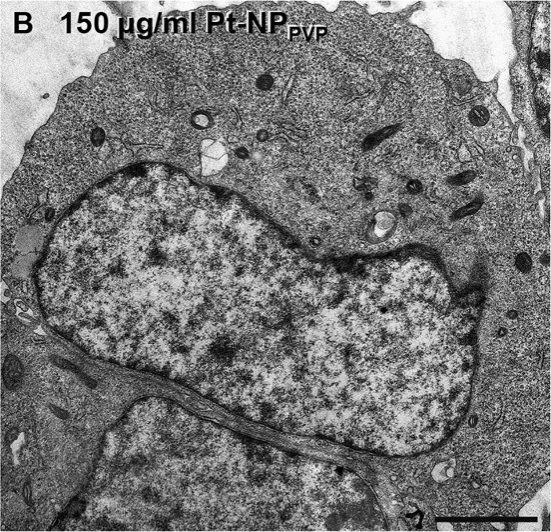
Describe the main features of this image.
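Here a cultured cell is seen in thin section, with a large, irregularly indented nucleus lying in the lower half of its body. The chromatin is finely dispersed with small darker clumps, much as in an ordinary interphase cell. In the cytoplasm above the nucleus lie a few elongated dark mitochondria, a few pale vacuoles and scattered short profiles of endoplasmic reticulum. Below the nucleus a neighbouring cell presses close, and the two cell membranes run side by side in a narrow band between them. The nuclear envelope is intact, and no dense particles stand out on the cell surface or inside the cytoplasm.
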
